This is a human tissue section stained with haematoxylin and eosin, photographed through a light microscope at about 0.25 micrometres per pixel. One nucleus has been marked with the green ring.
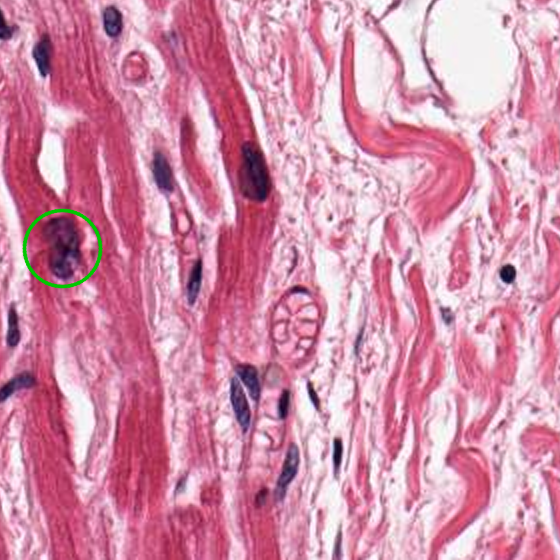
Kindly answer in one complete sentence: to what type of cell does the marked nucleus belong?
The marked nucleus is part of a cardiomyocyte.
